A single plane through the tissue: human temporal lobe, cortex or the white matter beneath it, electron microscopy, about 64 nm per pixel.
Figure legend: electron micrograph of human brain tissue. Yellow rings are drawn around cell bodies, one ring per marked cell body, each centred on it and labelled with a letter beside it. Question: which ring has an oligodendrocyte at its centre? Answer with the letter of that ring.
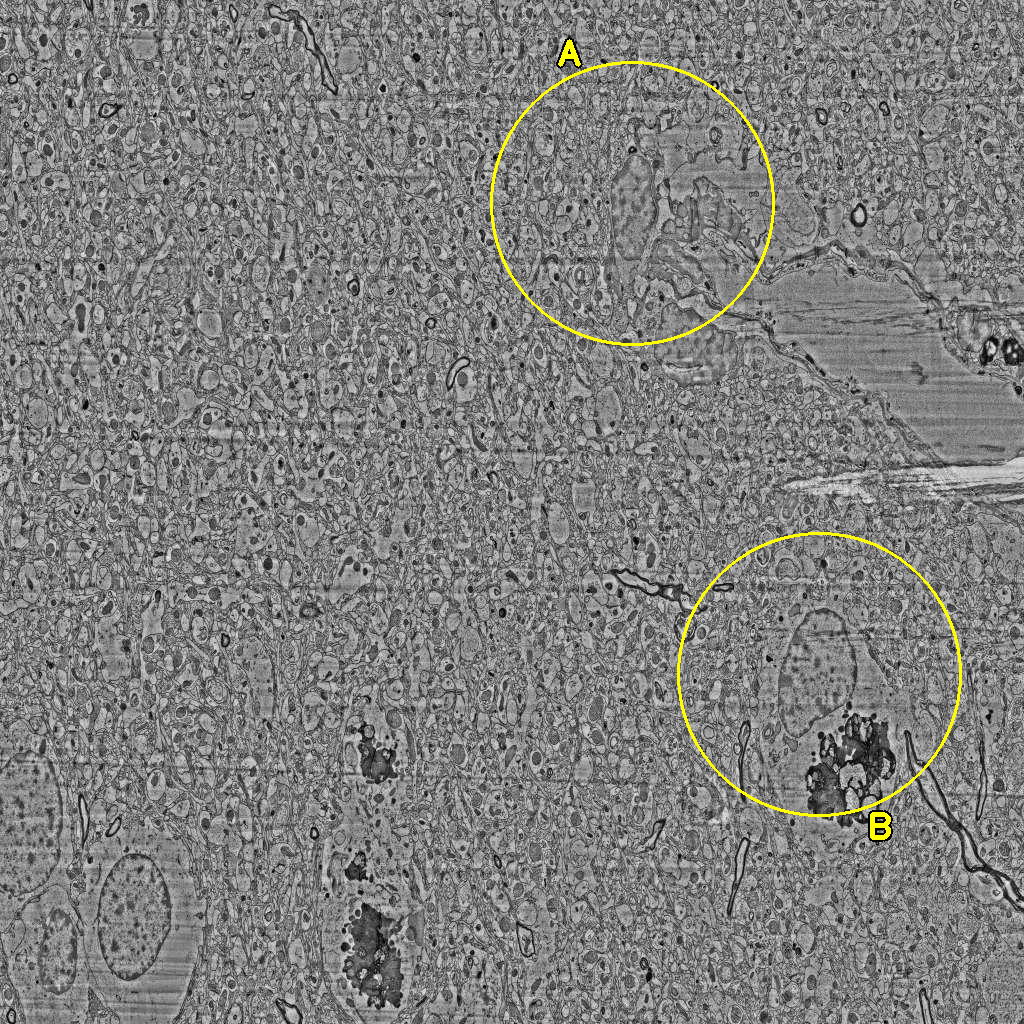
A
